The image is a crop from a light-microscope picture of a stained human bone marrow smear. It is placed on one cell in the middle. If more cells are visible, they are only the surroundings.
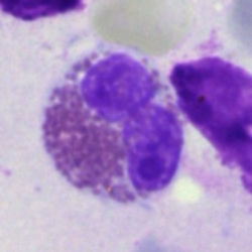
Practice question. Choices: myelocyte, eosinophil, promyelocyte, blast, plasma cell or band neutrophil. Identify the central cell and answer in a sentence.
To answer, the cell in the center of the crop is an eosinophil.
